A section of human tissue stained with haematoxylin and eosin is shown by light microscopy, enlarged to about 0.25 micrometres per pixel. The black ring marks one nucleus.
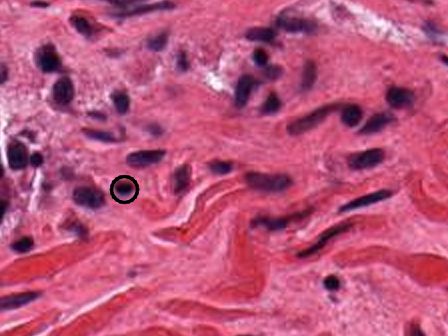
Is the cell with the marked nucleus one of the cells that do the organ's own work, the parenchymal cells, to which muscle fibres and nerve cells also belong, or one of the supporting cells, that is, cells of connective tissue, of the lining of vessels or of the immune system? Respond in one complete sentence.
It is in a supporting cell that the marked nucleus lies.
